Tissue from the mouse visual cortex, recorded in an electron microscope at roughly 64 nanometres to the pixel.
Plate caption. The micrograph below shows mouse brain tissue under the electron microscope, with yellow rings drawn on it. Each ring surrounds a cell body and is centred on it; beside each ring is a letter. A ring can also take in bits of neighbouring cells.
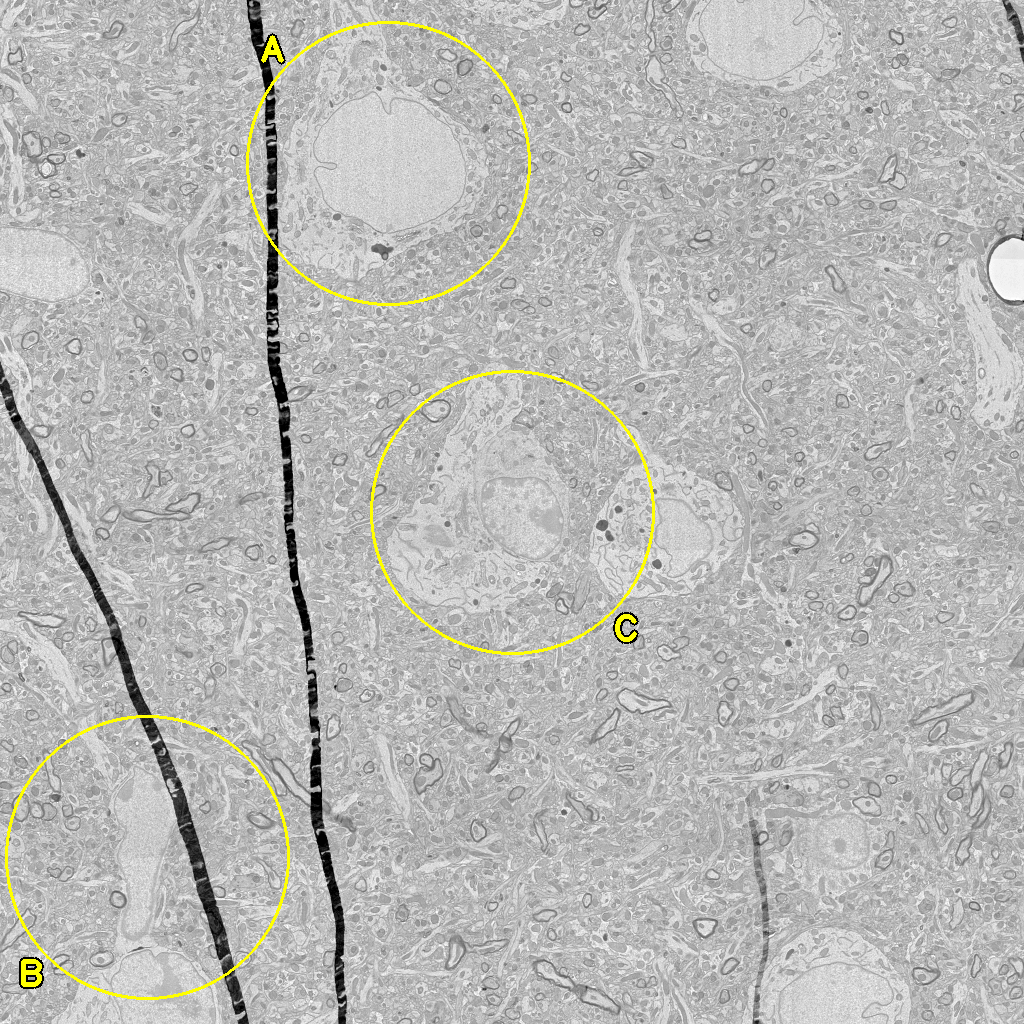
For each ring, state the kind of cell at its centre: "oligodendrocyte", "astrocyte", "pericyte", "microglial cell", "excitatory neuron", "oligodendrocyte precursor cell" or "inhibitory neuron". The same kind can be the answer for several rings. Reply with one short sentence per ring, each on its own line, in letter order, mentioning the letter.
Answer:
Ring A is drawn around an excitatory neuron.
Ring B is drawn around an oligodendrocyte precursor cell.
Ring C is drawn around an oligodendrocyte.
